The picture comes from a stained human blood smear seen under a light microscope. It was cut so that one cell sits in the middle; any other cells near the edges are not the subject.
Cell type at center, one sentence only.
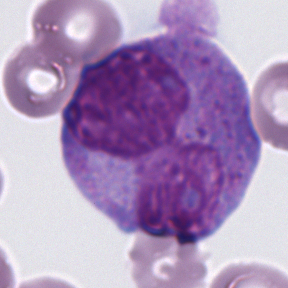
The cell at the central position in this crop is an atypical promyelocyte.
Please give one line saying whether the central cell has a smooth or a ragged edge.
Nothing juts out from the margin, which is smooth throughout.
